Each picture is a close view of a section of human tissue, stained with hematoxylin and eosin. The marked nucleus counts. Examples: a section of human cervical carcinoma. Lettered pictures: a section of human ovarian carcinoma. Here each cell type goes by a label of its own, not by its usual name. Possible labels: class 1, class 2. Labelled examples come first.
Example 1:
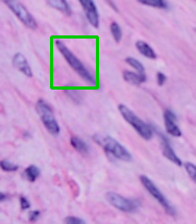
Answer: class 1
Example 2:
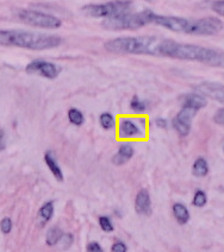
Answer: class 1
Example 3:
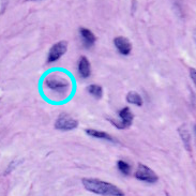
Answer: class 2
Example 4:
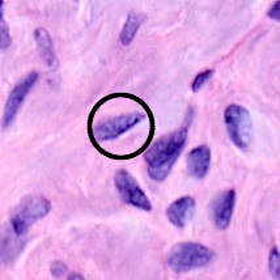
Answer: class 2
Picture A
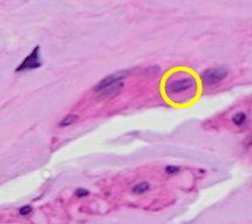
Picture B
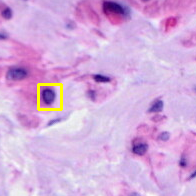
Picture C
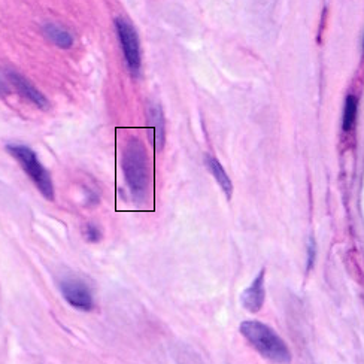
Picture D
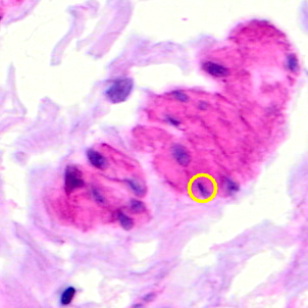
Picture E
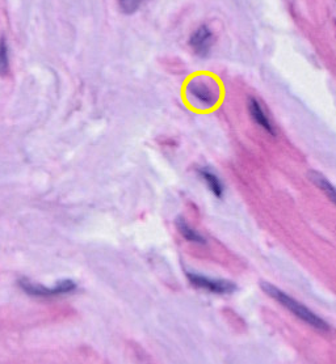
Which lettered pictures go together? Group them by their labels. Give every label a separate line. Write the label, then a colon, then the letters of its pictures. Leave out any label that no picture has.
class 1: A, B, C, D, E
